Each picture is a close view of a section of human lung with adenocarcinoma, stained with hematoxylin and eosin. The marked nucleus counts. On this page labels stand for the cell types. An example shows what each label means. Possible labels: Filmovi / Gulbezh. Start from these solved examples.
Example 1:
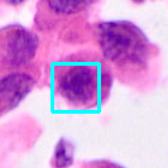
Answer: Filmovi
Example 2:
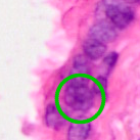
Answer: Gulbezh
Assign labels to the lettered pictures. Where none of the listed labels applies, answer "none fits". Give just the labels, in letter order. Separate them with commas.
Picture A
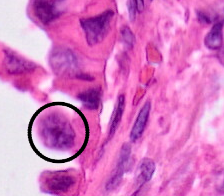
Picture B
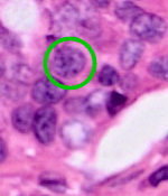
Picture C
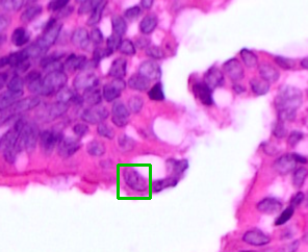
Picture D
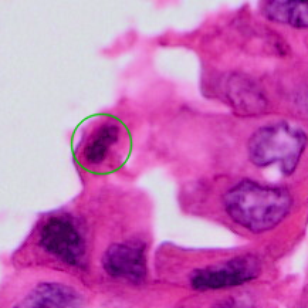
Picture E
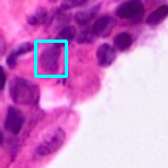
Filmovi, Gulbezh, Gulbezh, none fits, Gulbezh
